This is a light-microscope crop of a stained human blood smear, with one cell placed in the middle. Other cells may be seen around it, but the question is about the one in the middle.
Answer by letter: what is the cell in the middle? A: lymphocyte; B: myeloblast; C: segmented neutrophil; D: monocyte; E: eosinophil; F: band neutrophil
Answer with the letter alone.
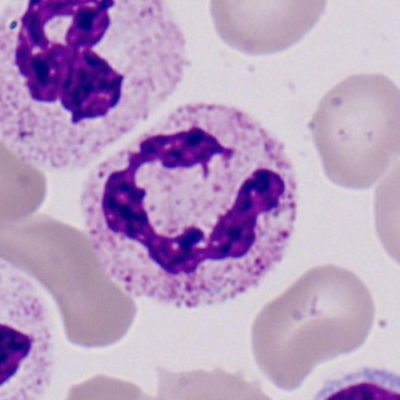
C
